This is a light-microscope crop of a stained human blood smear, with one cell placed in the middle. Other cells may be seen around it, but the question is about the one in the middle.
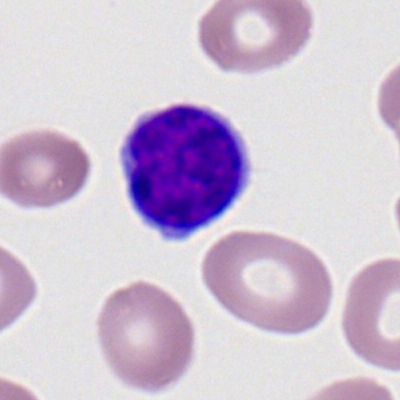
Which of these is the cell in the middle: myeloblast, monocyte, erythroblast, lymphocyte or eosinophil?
lymphocyte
